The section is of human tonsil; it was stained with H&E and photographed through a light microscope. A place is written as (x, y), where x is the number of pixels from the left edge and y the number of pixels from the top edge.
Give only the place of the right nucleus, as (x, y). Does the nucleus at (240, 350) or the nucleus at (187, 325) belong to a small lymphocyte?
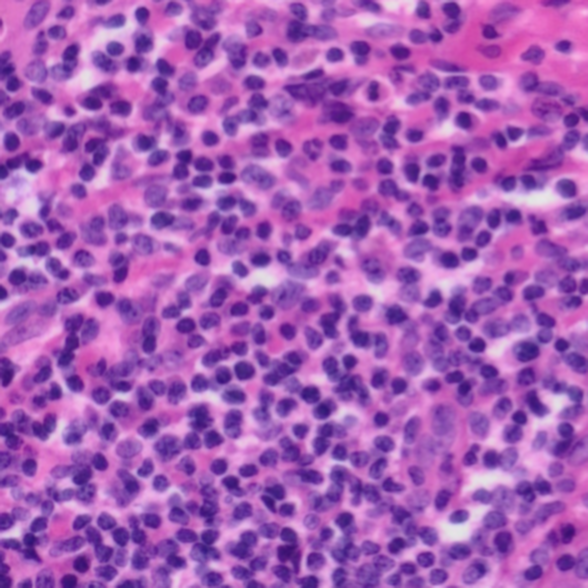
(240, 350)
